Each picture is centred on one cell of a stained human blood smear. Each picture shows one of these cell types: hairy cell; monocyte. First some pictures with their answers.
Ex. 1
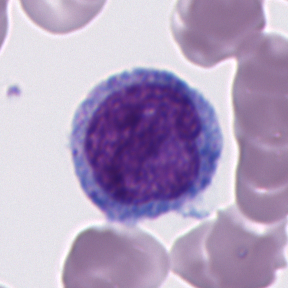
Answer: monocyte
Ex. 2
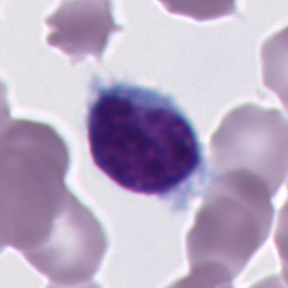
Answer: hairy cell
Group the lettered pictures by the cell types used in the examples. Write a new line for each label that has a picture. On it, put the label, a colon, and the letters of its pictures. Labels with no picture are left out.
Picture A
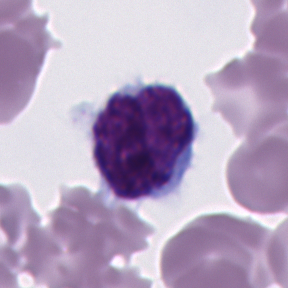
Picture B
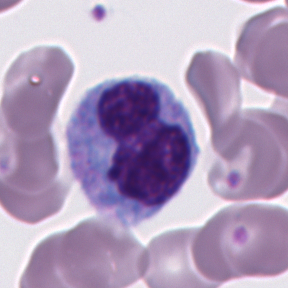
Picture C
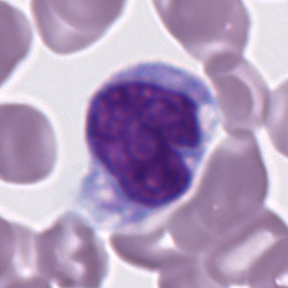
hairy cell: A
monocyte: B, C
